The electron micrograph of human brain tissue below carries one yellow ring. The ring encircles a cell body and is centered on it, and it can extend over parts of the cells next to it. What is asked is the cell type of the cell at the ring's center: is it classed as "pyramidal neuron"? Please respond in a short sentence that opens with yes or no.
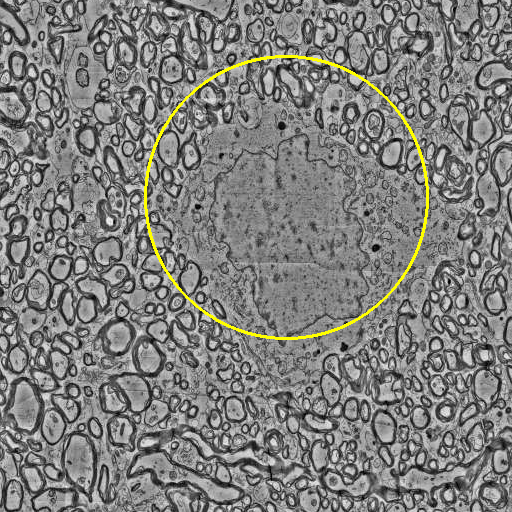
Yes, it is classed that way.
